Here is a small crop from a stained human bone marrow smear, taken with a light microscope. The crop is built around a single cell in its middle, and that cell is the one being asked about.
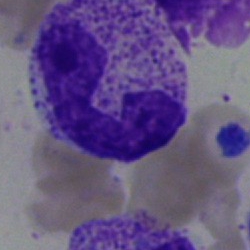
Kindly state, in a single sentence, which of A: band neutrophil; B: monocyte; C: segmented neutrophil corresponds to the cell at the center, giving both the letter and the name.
Located in the middle of the crop is a band neutrophil, and option A is therefore correct.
